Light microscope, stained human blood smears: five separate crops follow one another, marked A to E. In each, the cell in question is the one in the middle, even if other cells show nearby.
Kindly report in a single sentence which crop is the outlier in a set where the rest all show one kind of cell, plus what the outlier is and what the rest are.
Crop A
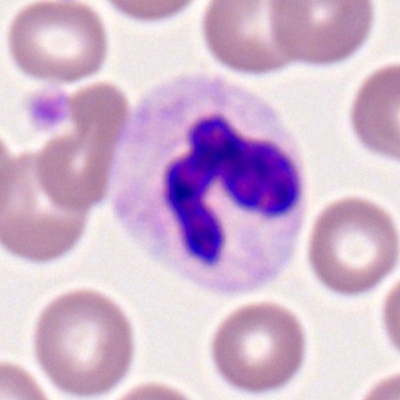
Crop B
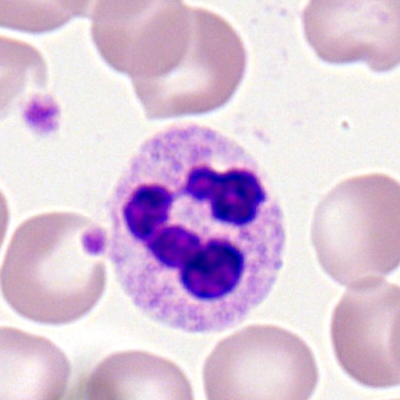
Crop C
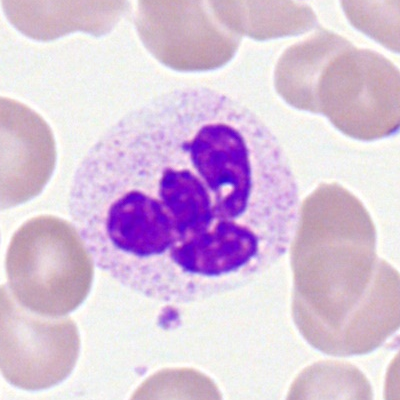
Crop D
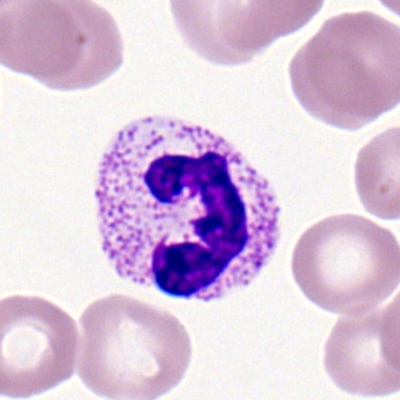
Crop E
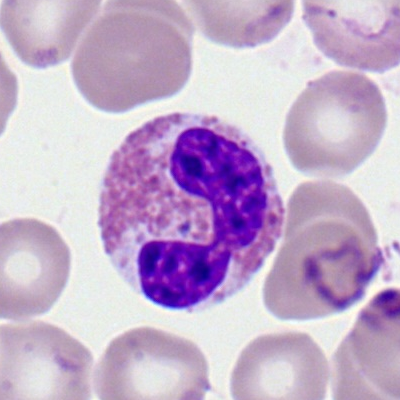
Crop E shows an eosinophil, while all of the others show neutrophils.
